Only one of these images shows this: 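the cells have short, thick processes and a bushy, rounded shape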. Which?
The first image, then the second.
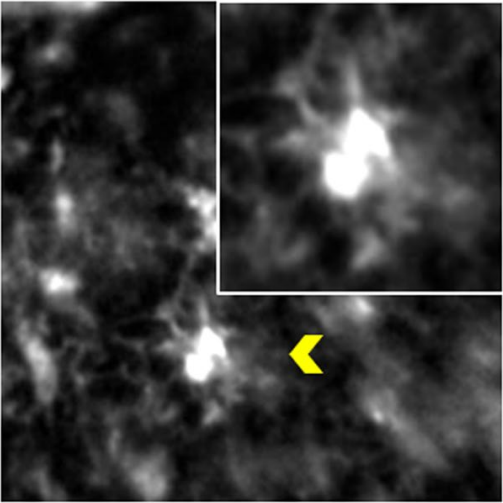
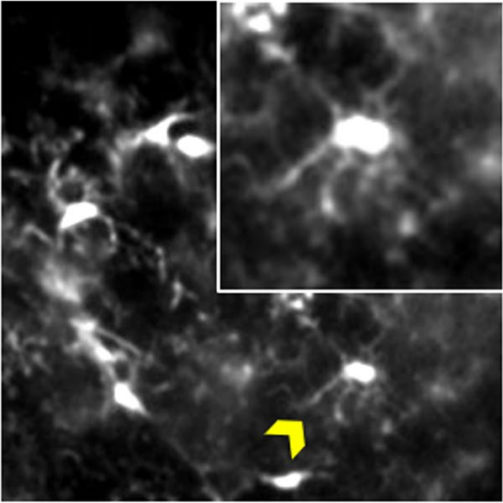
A: the first image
